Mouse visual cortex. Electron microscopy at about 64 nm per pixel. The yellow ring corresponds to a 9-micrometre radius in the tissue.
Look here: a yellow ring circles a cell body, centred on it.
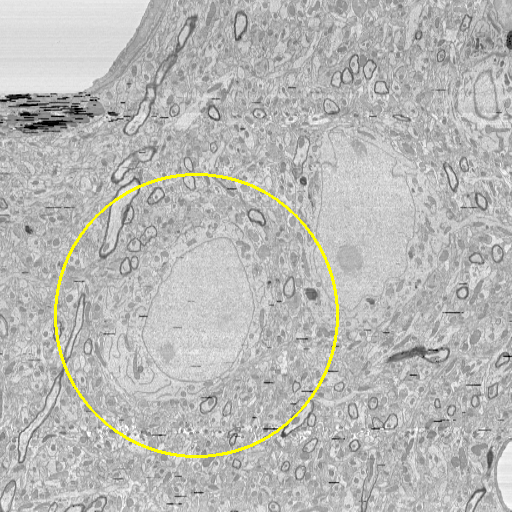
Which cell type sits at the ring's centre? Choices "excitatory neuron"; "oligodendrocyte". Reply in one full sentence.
The cell at the centre of the yellow ring in the picture is an excitatory neuron.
